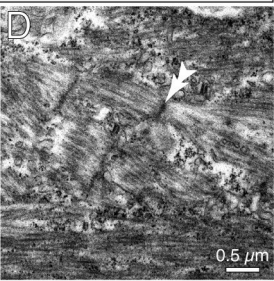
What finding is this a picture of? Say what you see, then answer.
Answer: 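Myofilament bundles are short and run in different directions. No regular series of repeating bands is present.
Conclusion: fragmented sarcomeres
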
